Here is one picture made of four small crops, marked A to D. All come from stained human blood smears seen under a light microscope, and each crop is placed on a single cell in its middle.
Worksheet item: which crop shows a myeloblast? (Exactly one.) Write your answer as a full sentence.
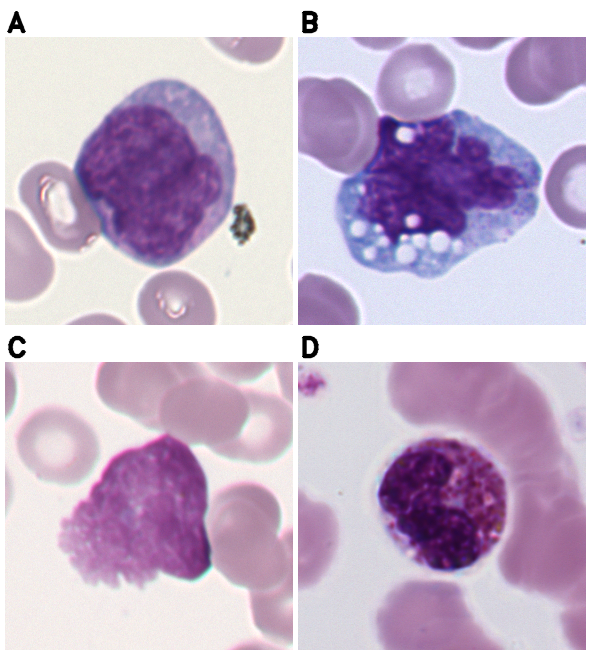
Crop B is the crop featuring a myeloblast at its center.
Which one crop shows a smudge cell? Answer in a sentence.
It is crop C, not any other, that shows a smudge cell.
